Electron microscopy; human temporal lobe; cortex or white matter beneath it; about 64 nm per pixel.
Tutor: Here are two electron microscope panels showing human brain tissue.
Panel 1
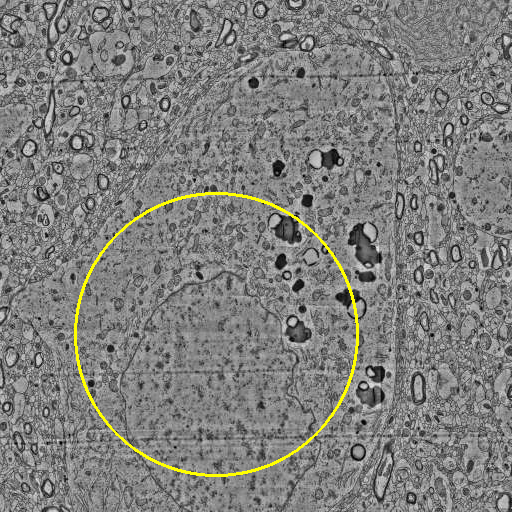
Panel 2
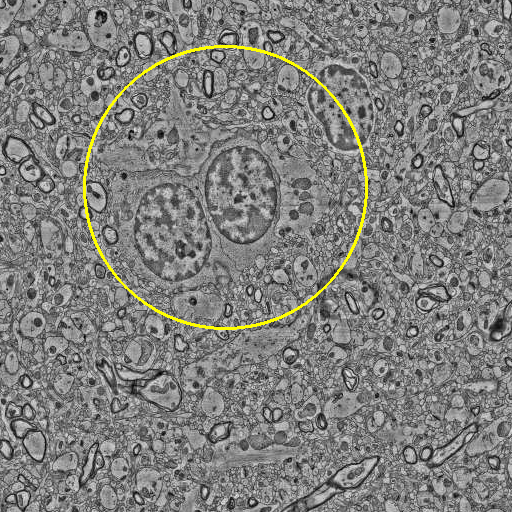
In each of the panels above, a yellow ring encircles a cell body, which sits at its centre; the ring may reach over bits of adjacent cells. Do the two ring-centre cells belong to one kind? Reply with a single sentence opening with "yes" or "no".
No, the two cells sitting at the ring centres in the panels belong to two kinds.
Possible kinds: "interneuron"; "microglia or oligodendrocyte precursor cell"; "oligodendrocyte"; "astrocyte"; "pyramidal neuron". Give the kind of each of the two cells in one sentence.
The cell in the second picture is an oligodendrocyte, and that in the first is a pyramidal neuron.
